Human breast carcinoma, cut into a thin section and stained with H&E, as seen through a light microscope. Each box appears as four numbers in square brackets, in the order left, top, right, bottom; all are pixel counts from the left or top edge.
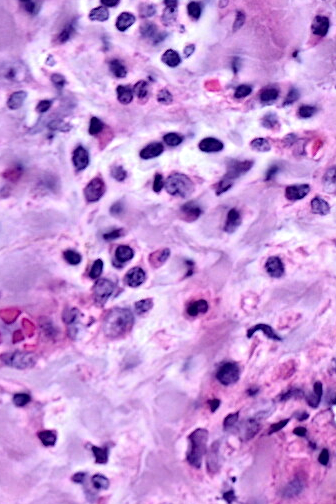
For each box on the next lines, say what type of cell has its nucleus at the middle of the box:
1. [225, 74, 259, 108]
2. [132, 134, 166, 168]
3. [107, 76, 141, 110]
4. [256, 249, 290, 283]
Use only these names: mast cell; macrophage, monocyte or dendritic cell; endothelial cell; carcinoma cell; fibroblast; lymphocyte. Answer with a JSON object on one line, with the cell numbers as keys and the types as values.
{"1": "lymphocyte", "2": "lymphocyte", "3": "lymphocyte", "4": "mast cell"}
